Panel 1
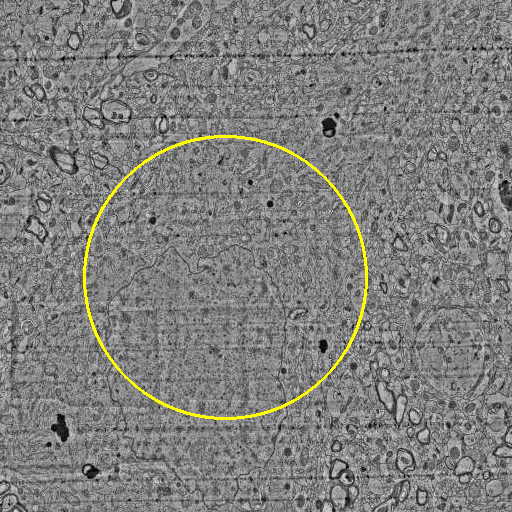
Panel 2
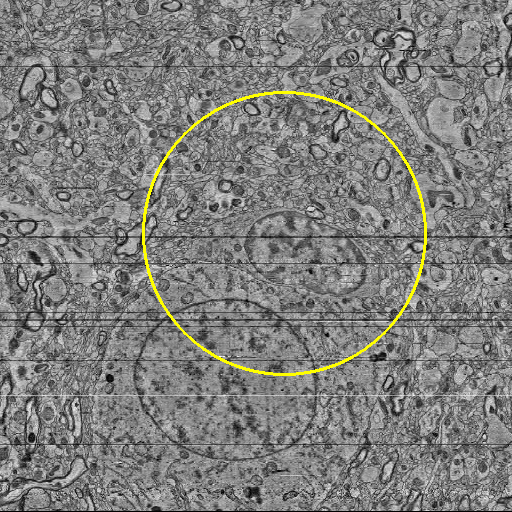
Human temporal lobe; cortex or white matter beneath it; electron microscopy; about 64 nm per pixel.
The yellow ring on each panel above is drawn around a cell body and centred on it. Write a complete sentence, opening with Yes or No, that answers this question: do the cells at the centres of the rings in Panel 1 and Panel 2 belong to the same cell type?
No, the two cells belong to two cell types.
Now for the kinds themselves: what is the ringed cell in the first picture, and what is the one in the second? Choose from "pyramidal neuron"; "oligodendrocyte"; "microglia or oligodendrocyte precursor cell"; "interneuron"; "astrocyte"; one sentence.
Here the first cell is a pyramidal neuron and the second cell is an oligodendrocyte.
